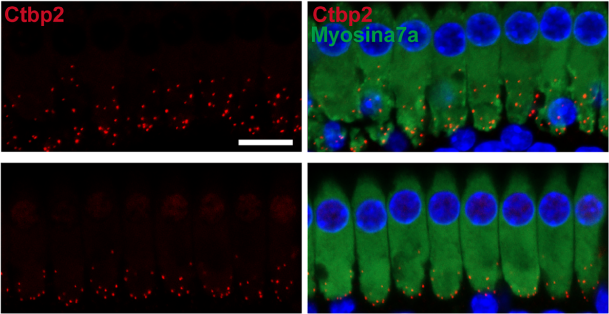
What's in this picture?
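These are inner hair cells of the cochlea, seen as a single row of flask-shaped green cells, each with one round blue nucleus near its top. In the lower row the red dots at the cell bases look fewer than in the upper row.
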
